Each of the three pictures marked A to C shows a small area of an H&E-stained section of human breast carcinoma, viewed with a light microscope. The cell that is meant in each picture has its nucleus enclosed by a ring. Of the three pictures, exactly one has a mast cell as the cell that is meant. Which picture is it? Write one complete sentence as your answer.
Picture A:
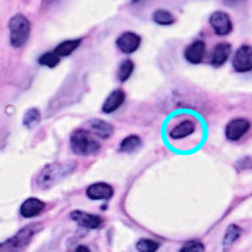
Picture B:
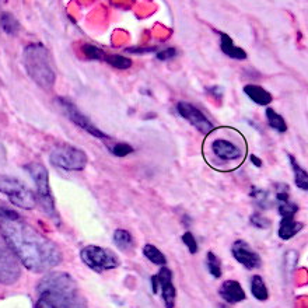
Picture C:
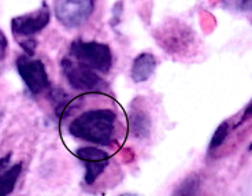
Picture B shows the mast cell.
